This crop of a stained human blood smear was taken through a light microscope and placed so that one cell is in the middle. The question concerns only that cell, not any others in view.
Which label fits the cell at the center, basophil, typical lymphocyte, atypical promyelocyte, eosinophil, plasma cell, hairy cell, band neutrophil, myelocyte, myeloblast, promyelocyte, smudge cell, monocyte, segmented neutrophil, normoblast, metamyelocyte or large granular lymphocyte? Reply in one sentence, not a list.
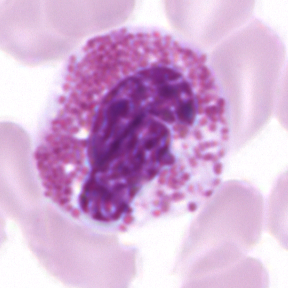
The central cell in this smear crop is an eosinophil.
